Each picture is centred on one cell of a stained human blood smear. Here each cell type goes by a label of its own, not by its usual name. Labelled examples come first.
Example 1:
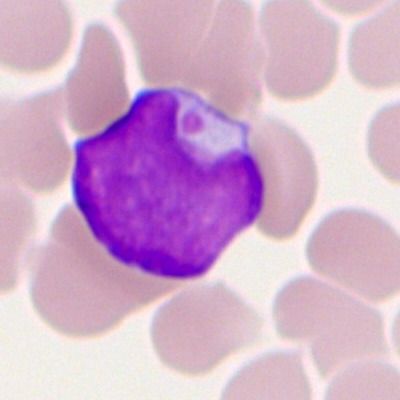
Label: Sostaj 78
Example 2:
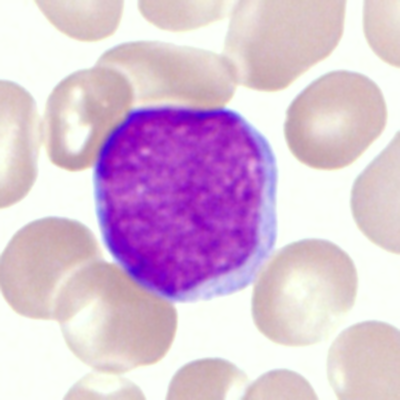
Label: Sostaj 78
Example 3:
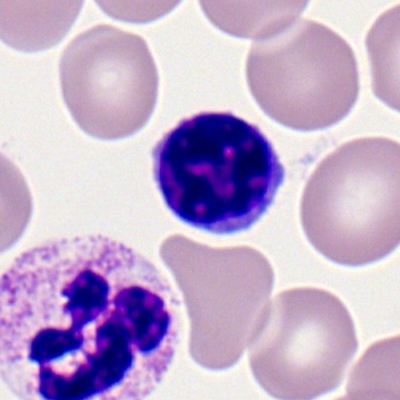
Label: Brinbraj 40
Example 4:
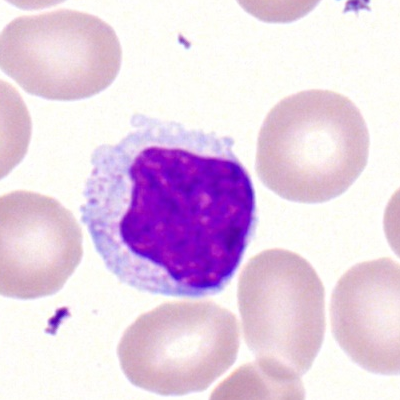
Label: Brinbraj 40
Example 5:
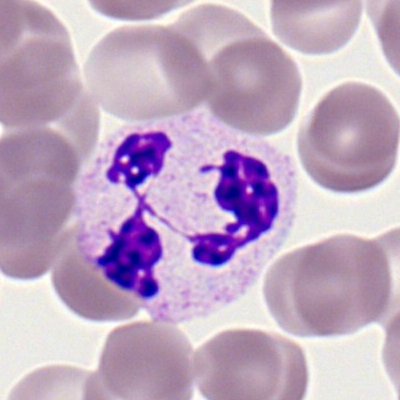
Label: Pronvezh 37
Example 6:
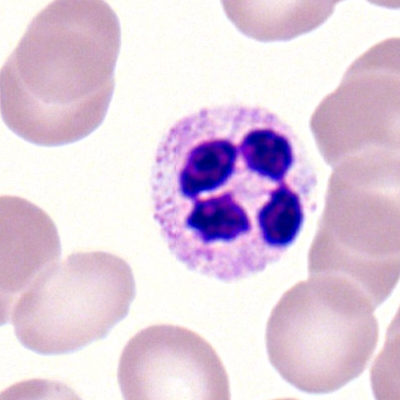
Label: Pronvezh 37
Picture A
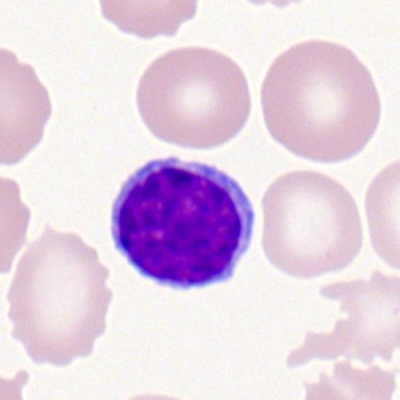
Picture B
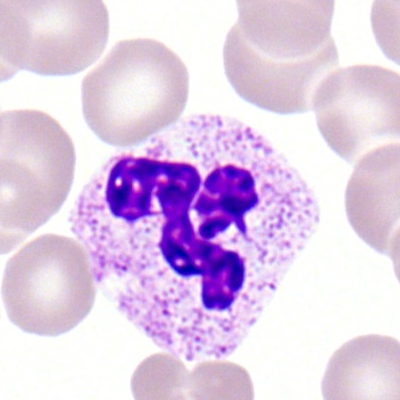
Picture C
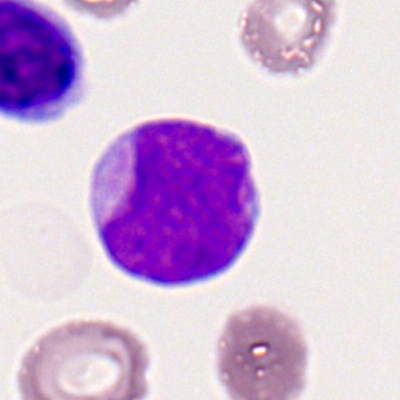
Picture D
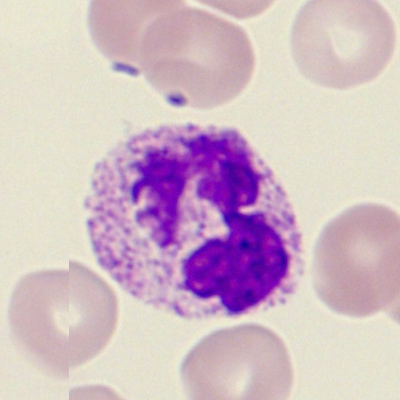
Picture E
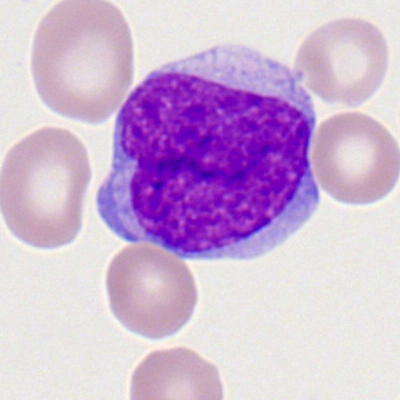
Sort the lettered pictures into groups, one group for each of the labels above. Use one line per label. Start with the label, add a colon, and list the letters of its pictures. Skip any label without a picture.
Sostaj 78: C, E
Brinbraj 40: A
Pronvezh 37: B, D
